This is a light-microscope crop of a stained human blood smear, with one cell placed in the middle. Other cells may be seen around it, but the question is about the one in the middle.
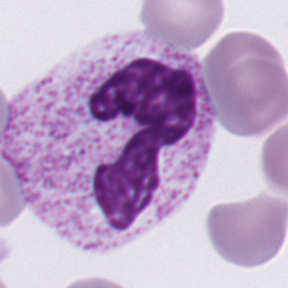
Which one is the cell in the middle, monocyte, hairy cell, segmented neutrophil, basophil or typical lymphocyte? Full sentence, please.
The cell under consideration, at the middle of the crop, is a segmented neutrophil.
